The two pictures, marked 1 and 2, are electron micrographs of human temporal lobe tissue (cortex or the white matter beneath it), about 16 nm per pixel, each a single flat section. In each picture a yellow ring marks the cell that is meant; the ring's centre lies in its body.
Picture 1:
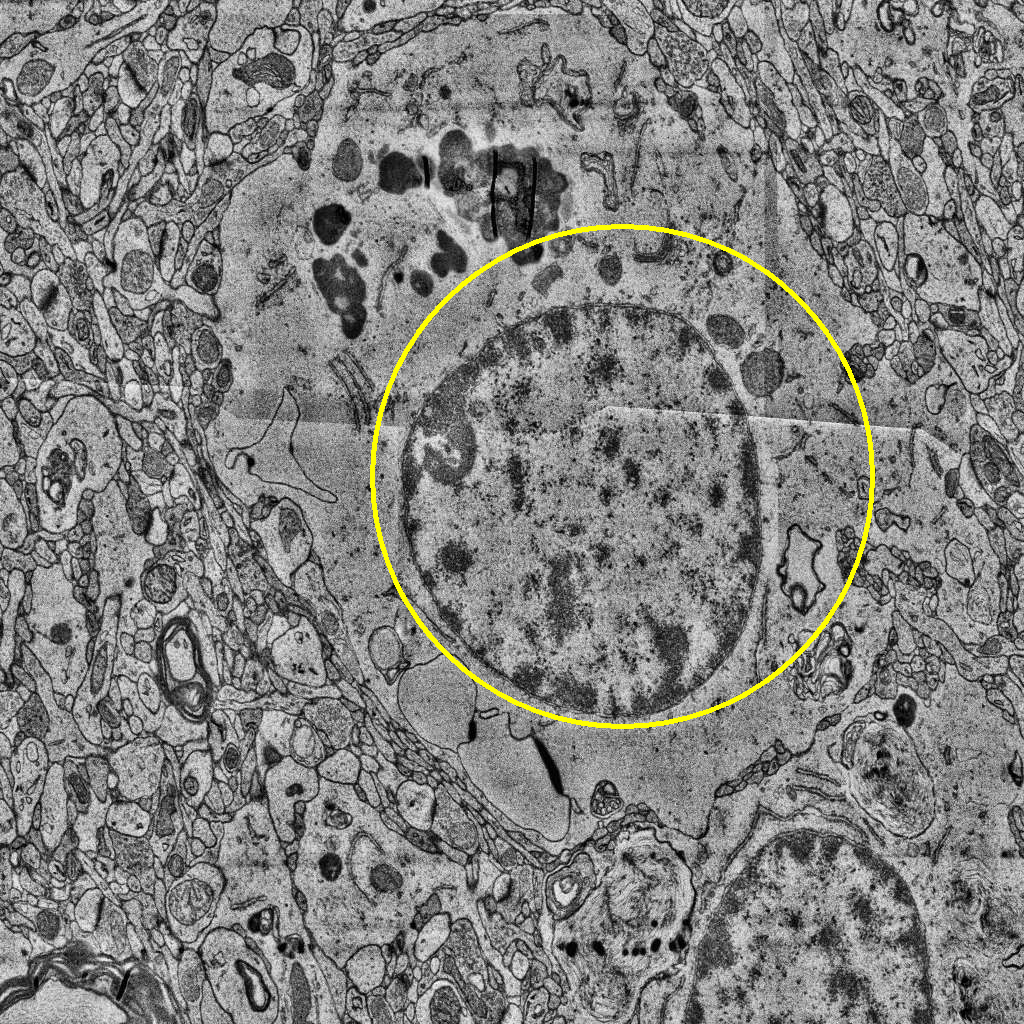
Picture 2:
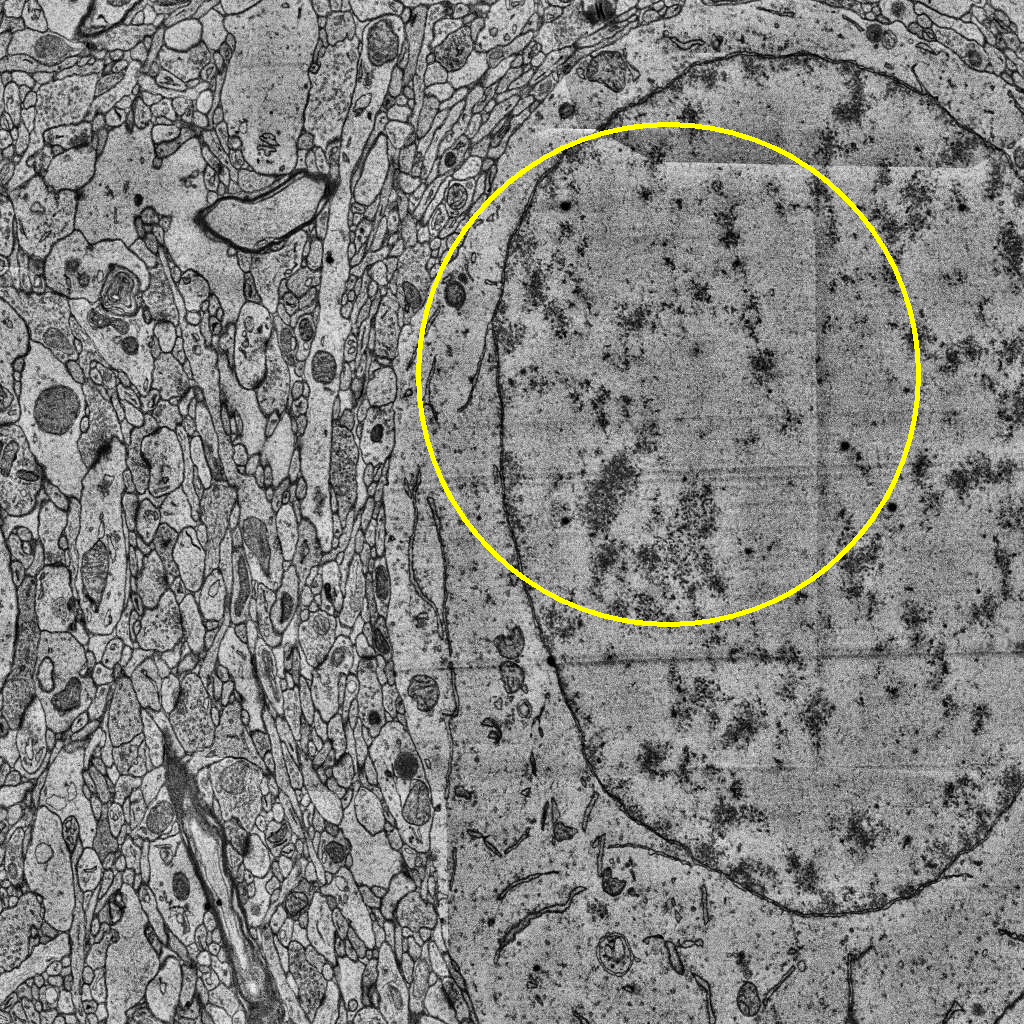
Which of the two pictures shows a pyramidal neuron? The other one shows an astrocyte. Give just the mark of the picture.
2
